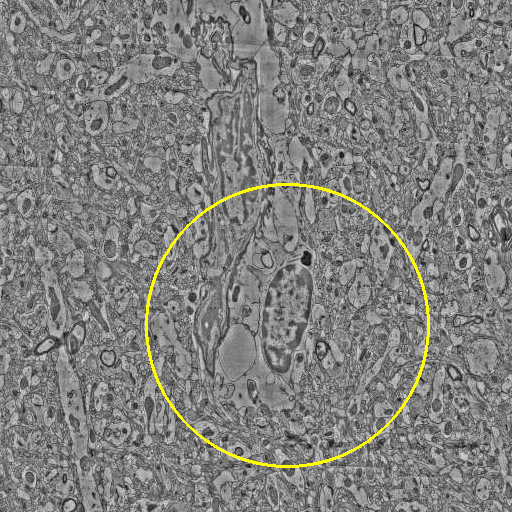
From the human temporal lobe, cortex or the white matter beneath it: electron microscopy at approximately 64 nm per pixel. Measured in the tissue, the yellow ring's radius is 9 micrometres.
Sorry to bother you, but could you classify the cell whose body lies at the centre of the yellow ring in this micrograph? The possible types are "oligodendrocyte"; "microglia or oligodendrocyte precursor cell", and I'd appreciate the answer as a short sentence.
The ringed cell body is that of a microglial cell or oligodendrocyte precursor cell.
